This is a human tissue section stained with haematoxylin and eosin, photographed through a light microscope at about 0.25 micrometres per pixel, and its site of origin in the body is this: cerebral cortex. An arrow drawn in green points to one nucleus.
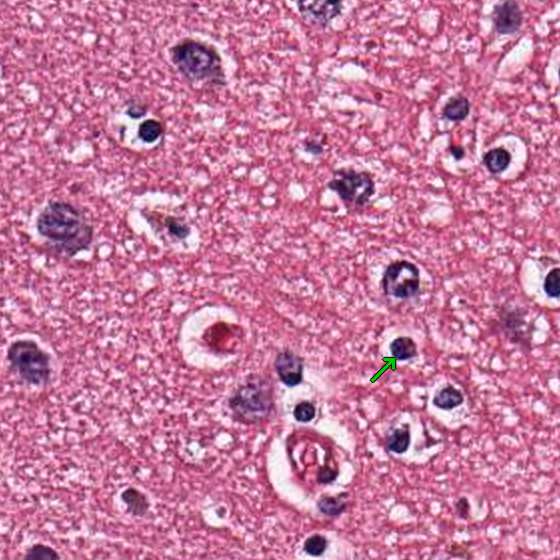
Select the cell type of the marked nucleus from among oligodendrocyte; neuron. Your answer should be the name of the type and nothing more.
oligodendrocyte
